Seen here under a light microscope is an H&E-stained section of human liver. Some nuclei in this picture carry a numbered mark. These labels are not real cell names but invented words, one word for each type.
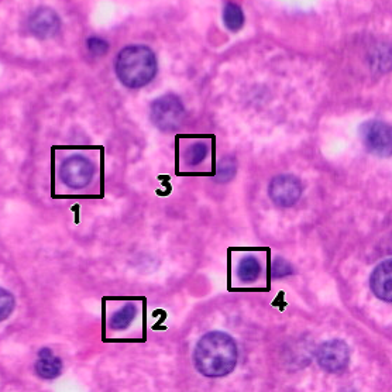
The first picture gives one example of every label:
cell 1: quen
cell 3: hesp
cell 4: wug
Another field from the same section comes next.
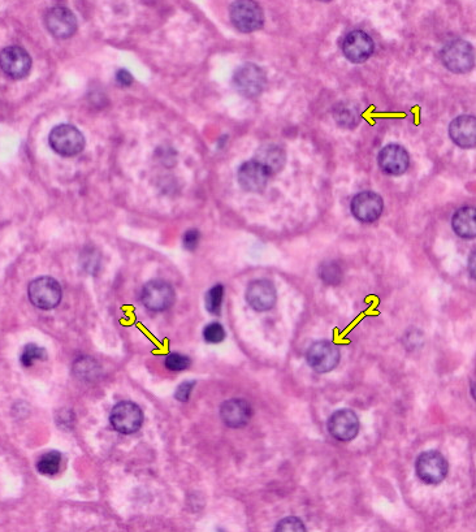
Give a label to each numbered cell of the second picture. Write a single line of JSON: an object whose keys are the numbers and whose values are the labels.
{"1": "quen", "2": "quen", "3": "wug"}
